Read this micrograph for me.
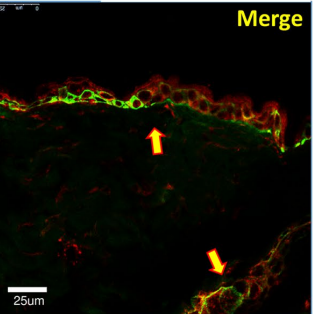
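Below the band lies dark underlying tissue with only scattered small red dots. A second narrow strand of green-outlined cells with red overlap crosses the lower right corner, and yellow arrows point to overlapping cells in both places.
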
